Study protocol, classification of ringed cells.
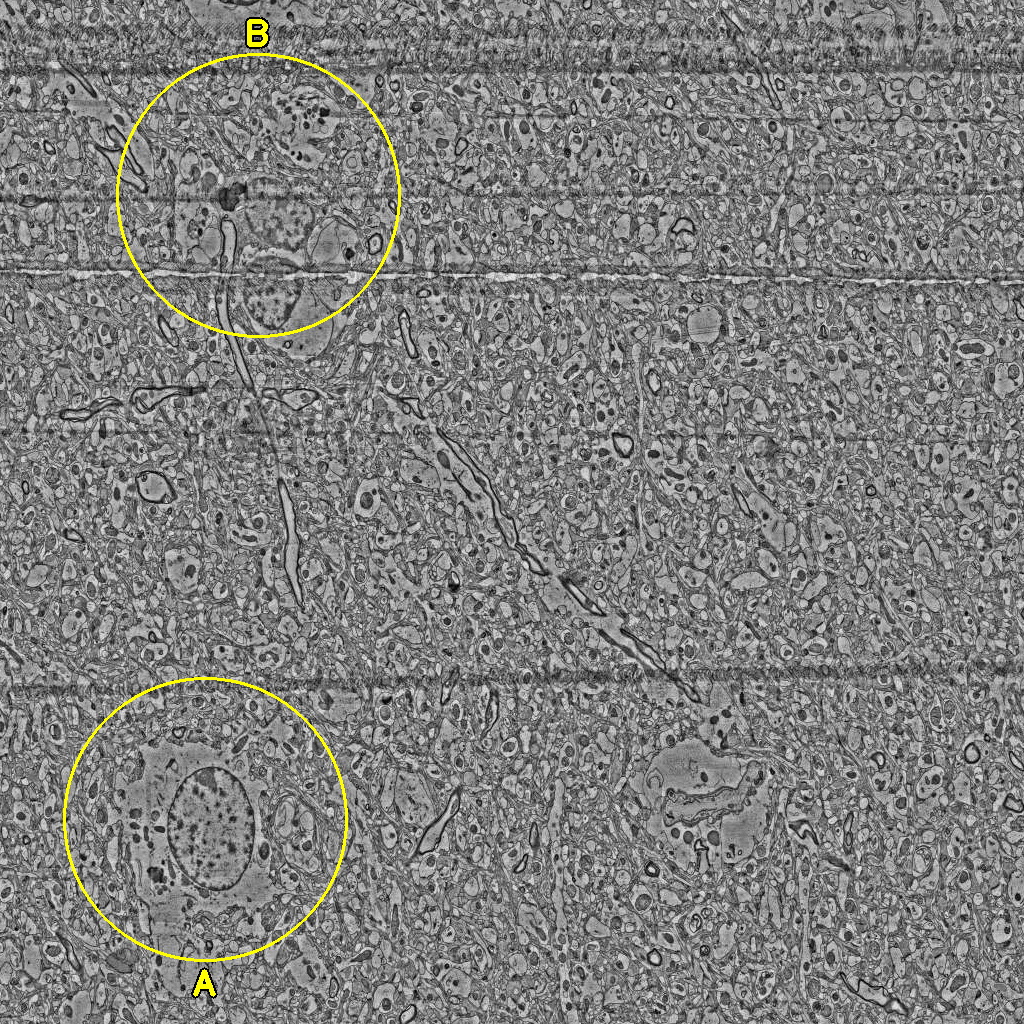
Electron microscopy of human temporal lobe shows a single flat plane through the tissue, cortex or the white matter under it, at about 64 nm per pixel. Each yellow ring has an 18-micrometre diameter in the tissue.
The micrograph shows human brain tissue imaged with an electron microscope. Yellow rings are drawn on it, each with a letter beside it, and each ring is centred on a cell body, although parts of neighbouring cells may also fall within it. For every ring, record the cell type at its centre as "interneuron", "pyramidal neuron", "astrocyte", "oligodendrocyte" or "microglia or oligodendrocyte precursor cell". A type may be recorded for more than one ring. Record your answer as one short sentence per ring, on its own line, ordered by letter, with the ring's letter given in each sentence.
Ring A has been centred on an astrocyte.
Ring B has been centred on an oligodendrocyte.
